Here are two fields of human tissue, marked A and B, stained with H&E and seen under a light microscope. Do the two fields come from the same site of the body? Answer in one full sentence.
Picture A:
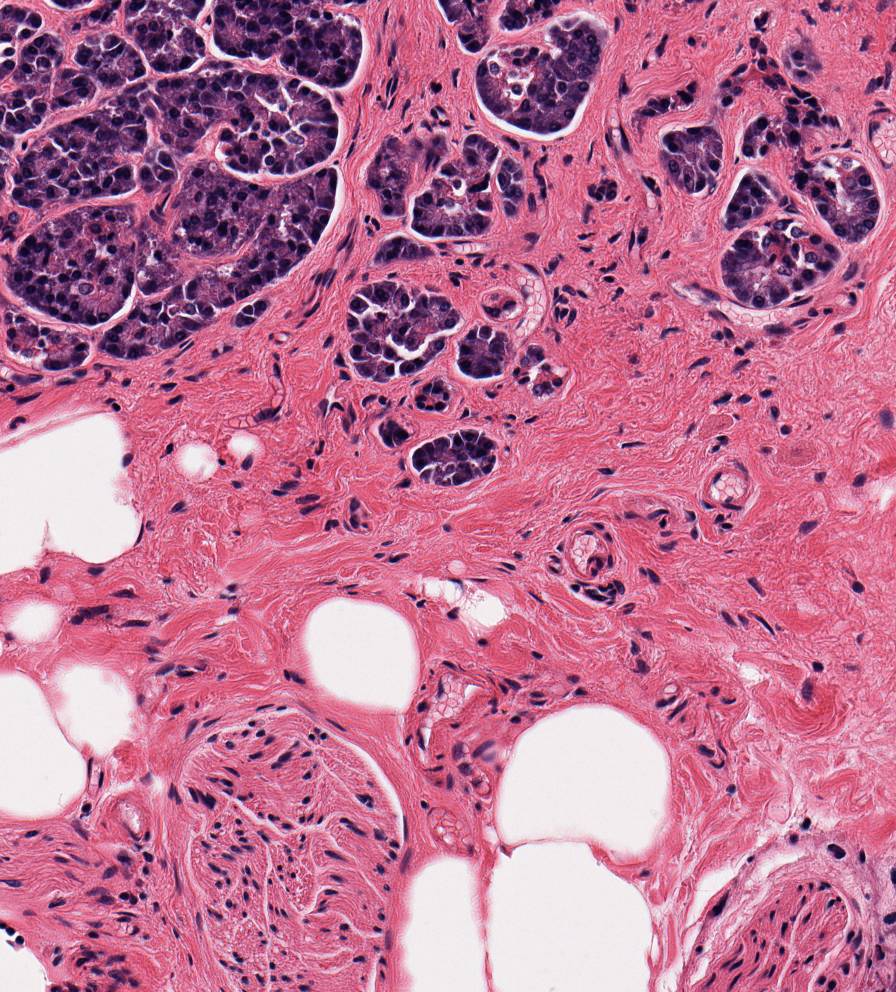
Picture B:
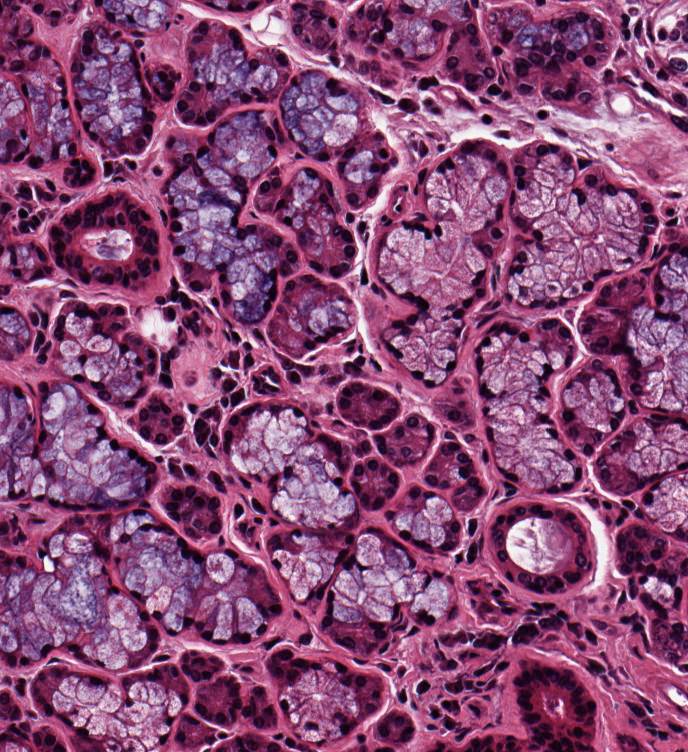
No: picture A comes from the pancreas, but picture B comes from a minor salivary gland.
